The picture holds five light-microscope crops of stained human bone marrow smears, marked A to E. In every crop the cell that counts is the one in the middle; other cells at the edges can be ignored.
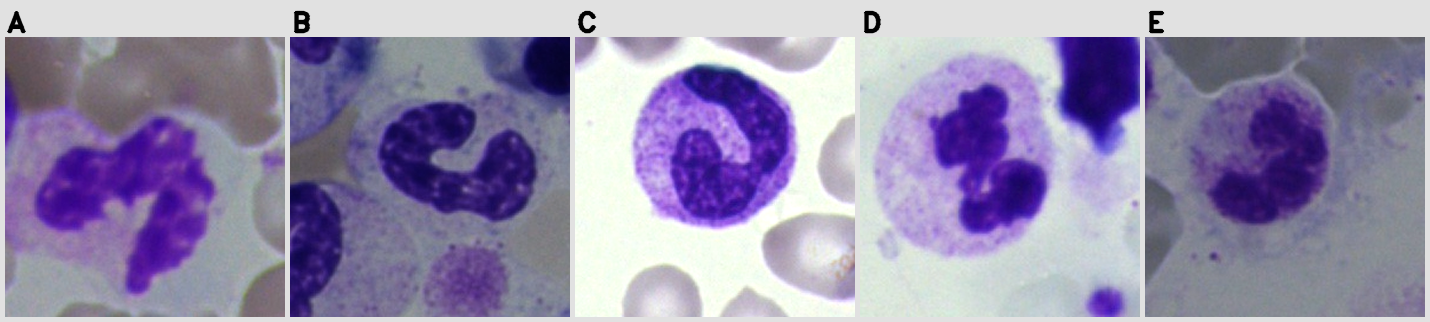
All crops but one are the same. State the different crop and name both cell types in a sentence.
Crop B is the odd one out, being a band neutrophil, while all the other crops show segmented neutrophils.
